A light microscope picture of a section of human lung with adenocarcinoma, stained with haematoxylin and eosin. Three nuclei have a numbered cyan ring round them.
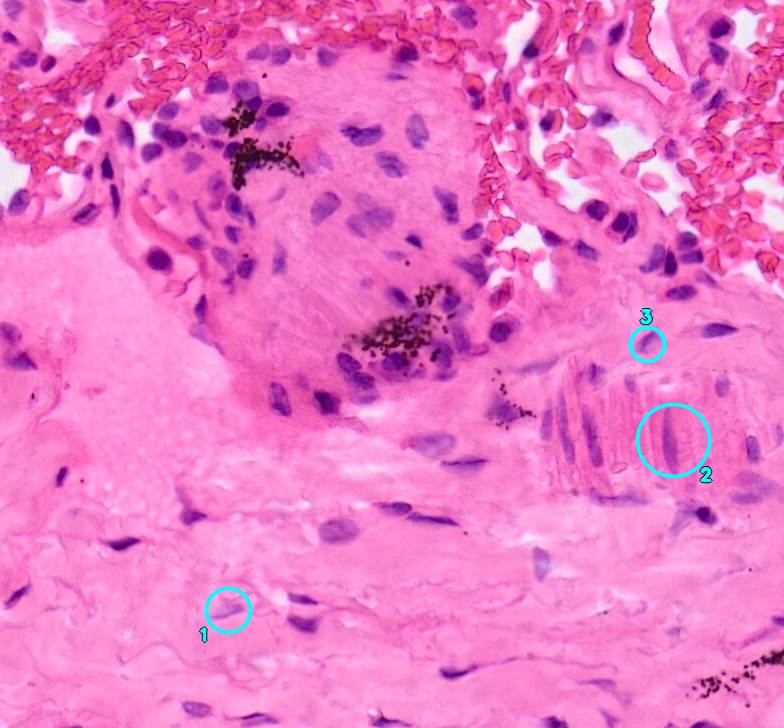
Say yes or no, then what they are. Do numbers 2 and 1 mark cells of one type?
No, the cell at number 2 is a smooth muscle cell or pericyte, and the cell at number 1 is a fibroblast.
